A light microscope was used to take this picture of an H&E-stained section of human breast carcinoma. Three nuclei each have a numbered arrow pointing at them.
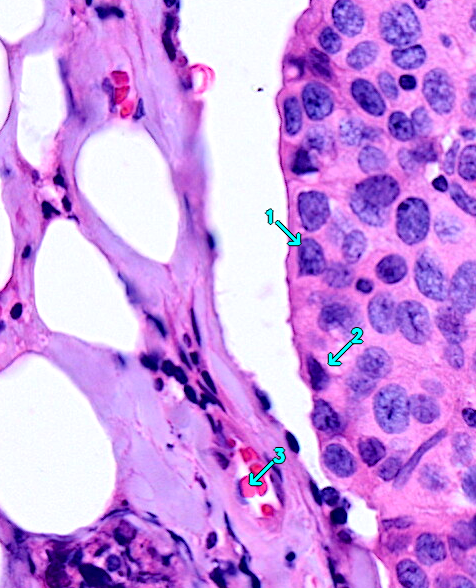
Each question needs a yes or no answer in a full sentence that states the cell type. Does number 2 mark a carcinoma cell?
Yes, the numbered nucleus 2 is that of a carcinoma cell.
